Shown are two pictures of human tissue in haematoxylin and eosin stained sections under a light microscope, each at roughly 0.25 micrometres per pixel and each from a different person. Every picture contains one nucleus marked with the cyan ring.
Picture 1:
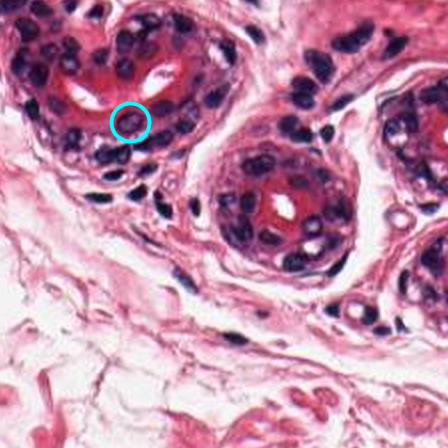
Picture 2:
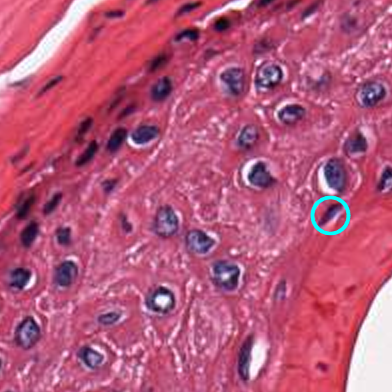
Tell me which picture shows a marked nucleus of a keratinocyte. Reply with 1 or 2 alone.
2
